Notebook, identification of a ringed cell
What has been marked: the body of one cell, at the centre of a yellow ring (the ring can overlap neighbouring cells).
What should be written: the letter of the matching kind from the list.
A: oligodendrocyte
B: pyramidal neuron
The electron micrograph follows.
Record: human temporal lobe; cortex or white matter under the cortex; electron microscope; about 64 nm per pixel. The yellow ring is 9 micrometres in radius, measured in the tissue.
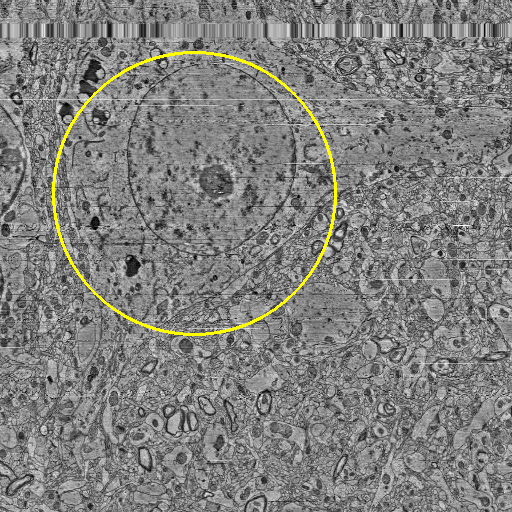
B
